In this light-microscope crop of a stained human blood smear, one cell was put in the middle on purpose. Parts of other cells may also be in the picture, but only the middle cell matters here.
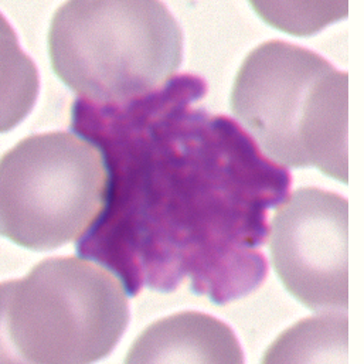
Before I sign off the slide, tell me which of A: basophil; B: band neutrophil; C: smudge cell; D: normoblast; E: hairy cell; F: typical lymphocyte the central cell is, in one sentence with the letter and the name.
Option C stands as correct, the central cell being a smudge cell.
